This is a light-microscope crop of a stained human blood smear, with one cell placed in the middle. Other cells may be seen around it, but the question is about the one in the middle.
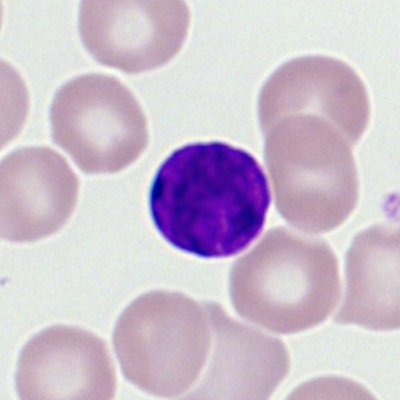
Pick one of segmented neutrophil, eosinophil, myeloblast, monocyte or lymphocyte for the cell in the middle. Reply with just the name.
lymphocyte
